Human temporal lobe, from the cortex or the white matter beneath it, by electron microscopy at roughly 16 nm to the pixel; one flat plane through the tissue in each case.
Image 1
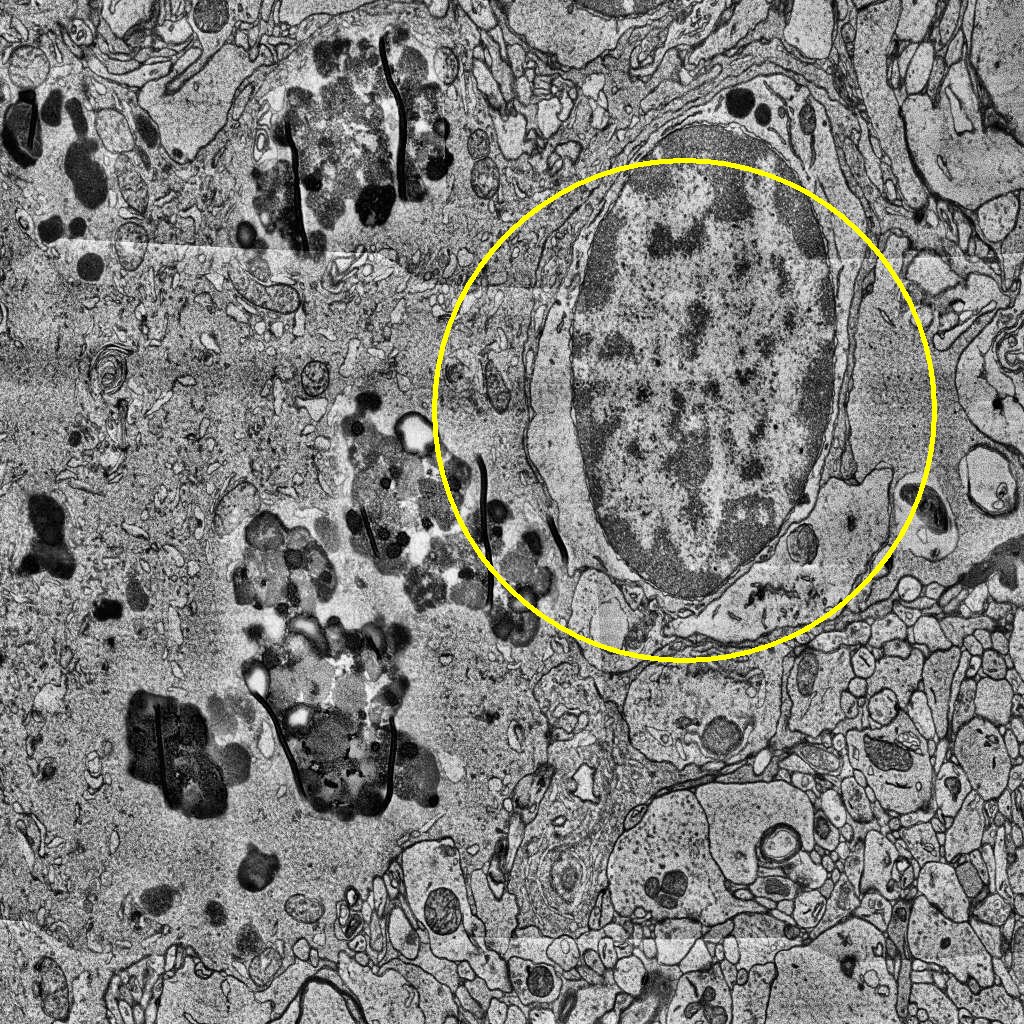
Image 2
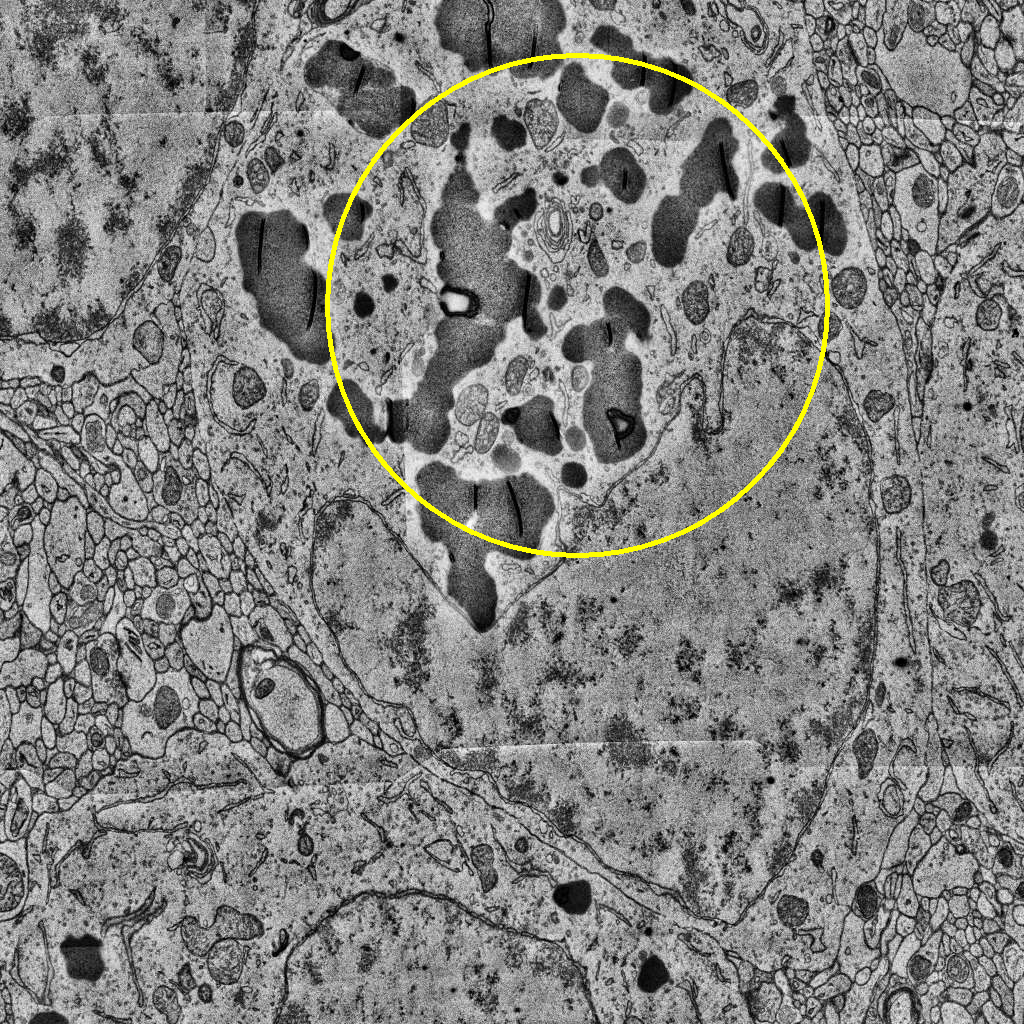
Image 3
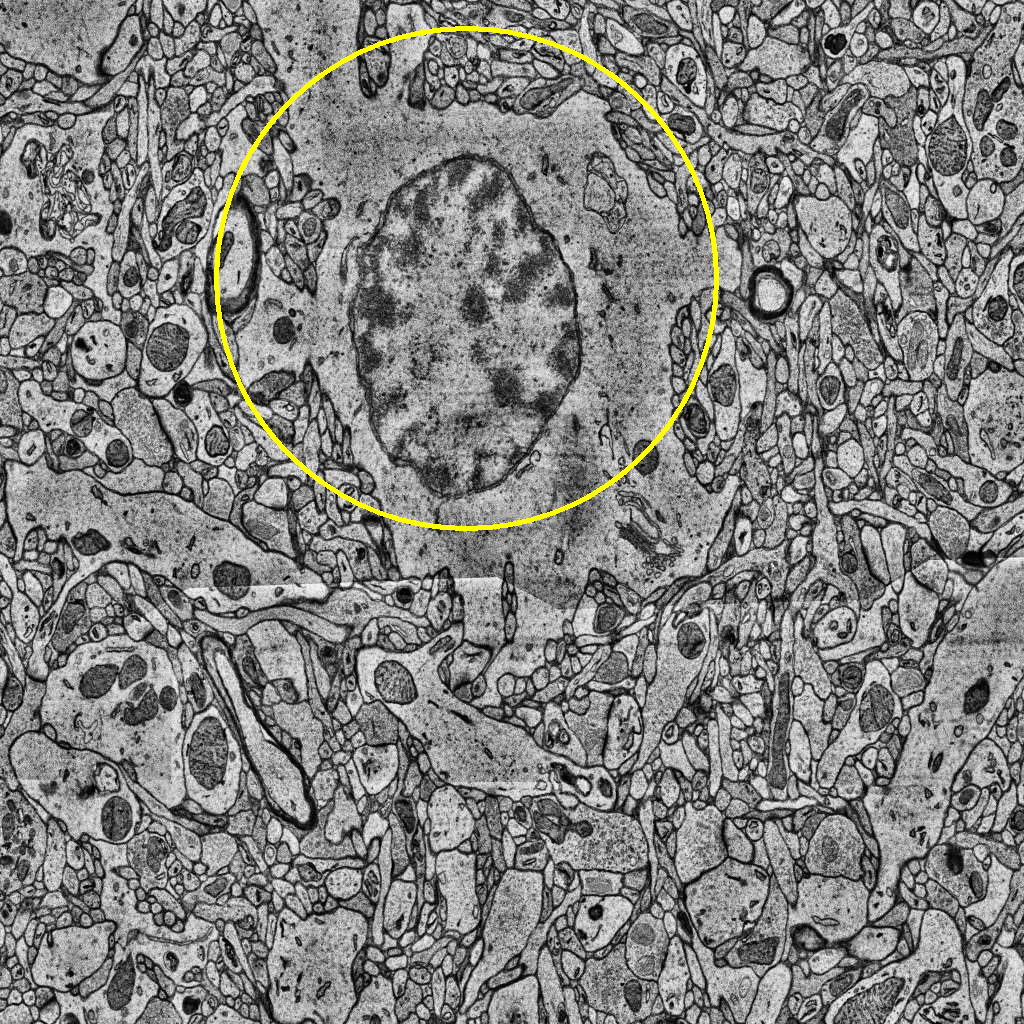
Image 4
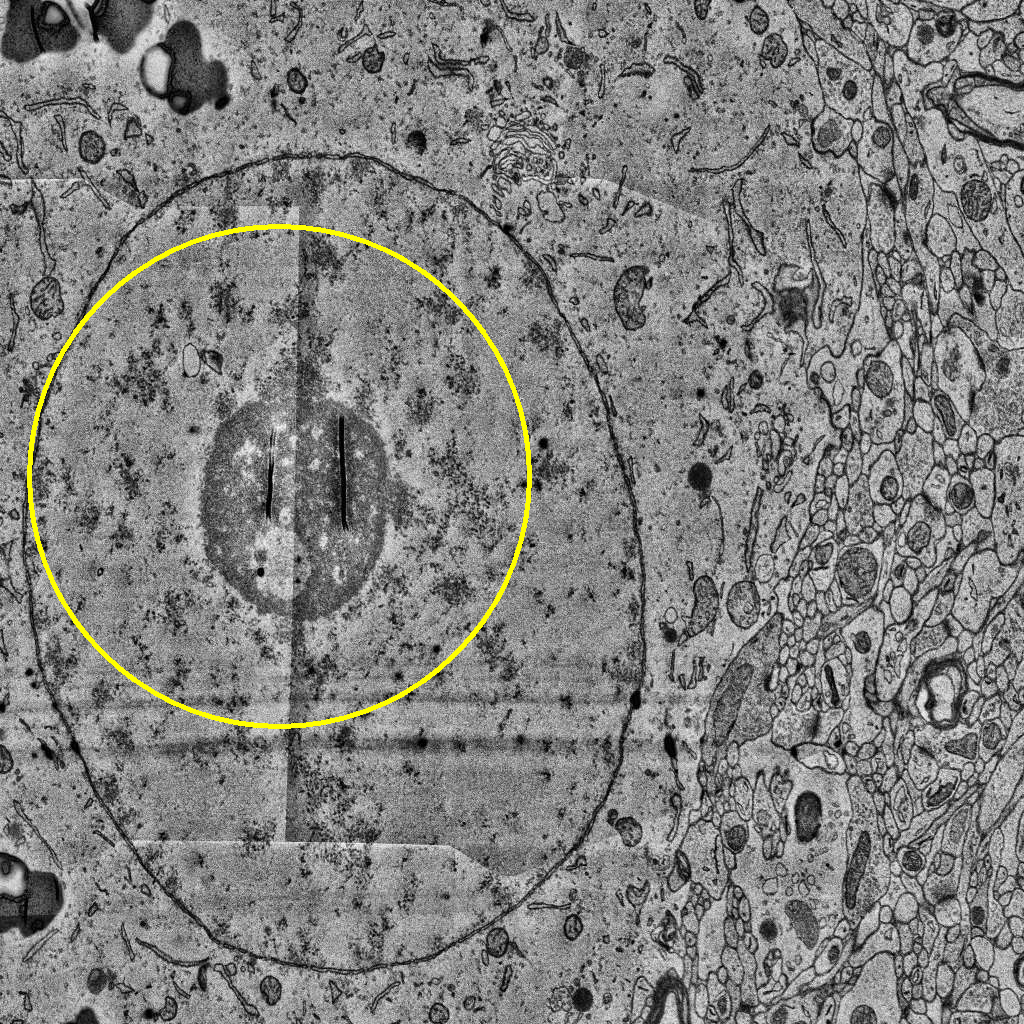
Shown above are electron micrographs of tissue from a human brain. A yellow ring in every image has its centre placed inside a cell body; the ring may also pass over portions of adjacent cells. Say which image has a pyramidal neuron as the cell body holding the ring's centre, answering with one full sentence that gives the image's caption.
The image whose ring has its centre inside the requested cell is Image 4.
